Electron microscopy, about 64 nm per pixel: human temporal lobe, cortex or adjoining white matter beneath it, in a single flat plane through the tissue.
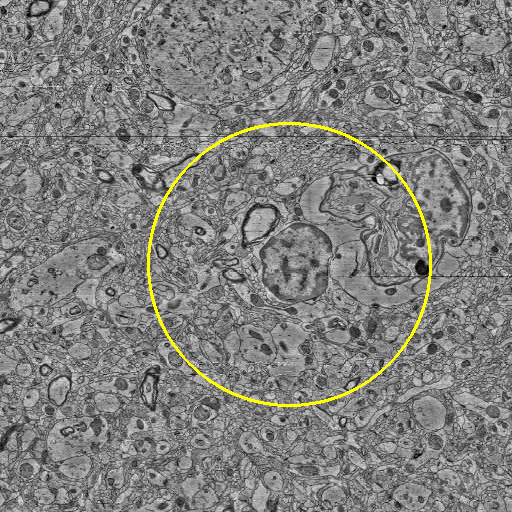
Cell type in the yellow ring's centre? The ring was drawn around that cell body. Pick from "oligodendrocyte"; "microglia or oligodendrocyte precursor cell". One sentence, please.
The ringed cell body is that of a microglial cell or oligodendrocyte precursor cell.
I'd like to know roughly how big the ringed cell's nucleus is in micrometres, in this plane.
In this plane, roughly 5 by 4 micrometres.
